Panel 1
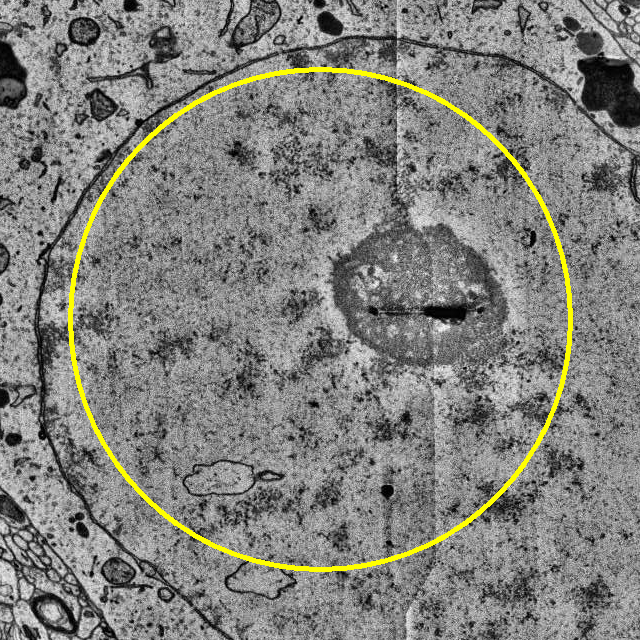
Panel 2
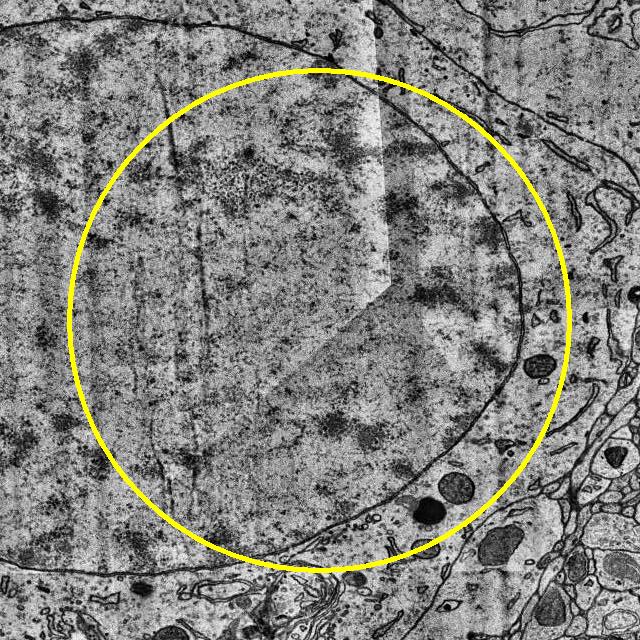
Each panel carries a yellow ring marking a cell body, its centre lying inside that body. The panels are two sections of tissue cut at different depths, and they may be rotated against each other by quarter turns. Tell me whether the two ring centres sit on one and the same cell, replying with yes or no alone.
no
